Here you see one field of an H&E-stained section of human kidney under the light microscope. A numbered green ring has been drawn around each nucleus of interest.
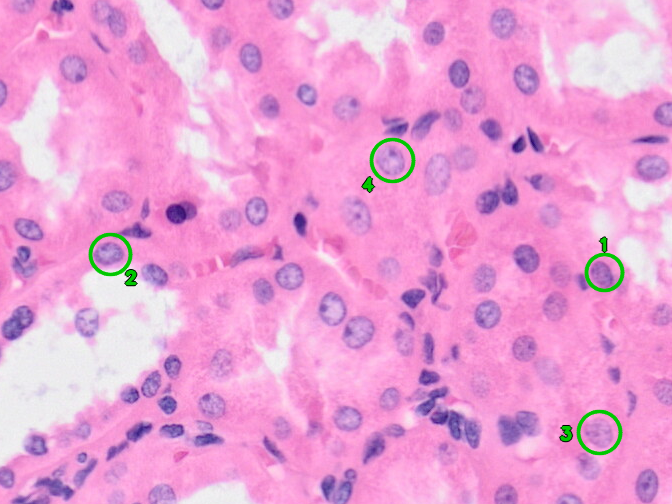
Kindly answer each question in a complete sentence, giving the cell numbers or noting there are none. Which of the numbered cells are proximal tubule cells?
The cells referred to by the numbers 1, 3 and 4 are proximal tubule cells.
